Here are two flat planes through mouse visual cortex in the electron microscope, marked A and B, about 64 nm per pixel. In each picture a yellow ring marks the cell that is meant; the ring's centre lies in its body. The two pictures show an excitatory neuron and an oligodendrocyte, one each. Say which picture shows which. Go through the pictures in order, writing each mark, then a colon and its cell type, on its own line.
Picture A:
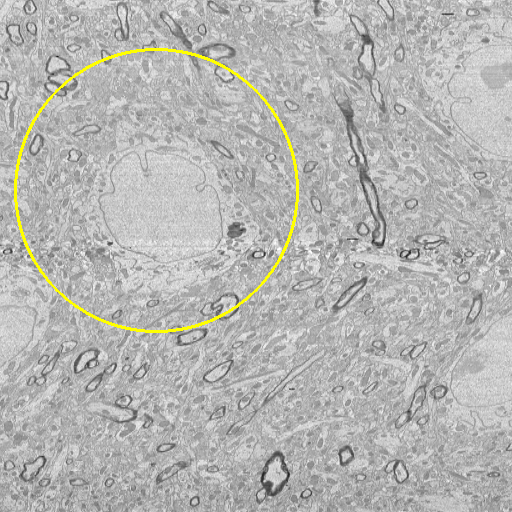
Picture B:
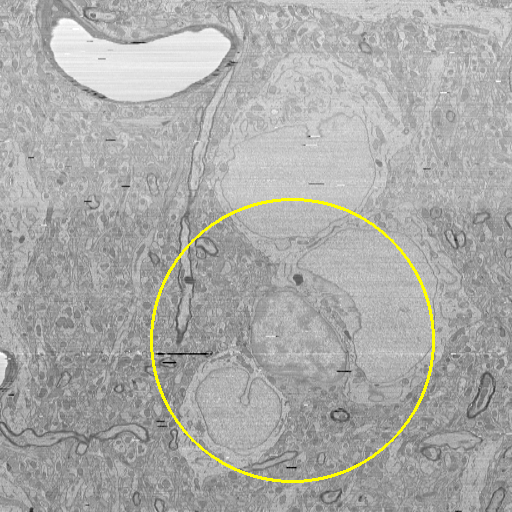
A: excitatory neuron
B: oligodendrocyte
